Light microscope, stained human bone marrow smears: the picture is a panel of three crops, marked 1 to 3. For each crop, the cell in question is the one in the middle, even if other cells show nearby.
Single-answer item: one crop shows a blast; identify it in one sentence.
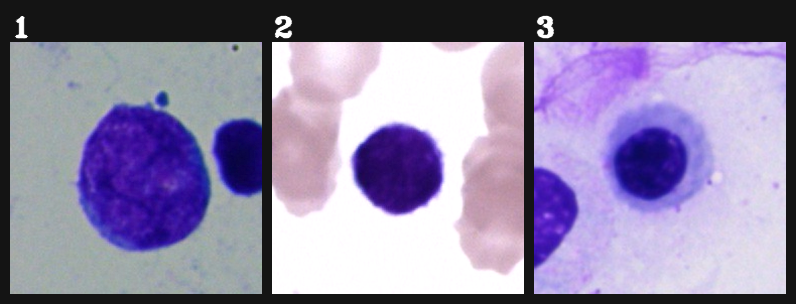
Crop 1 is the crop in which a blast is shown.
